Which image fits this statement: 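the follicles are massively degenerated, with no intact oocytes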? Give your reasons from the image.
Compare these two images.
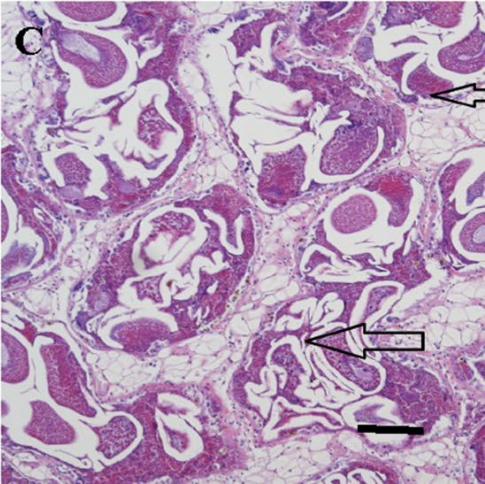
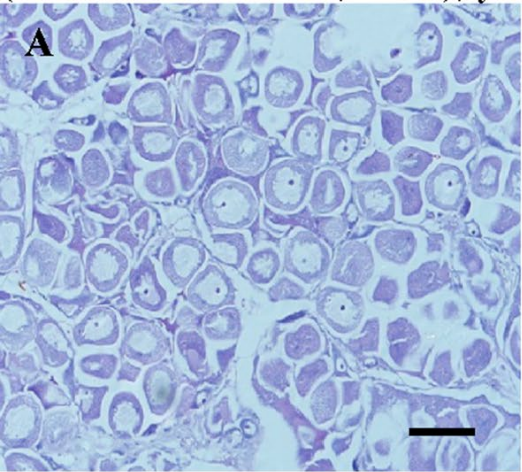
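The first image. Second image: closely packed round oocytes with clear central nuclei fill the tissue.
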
